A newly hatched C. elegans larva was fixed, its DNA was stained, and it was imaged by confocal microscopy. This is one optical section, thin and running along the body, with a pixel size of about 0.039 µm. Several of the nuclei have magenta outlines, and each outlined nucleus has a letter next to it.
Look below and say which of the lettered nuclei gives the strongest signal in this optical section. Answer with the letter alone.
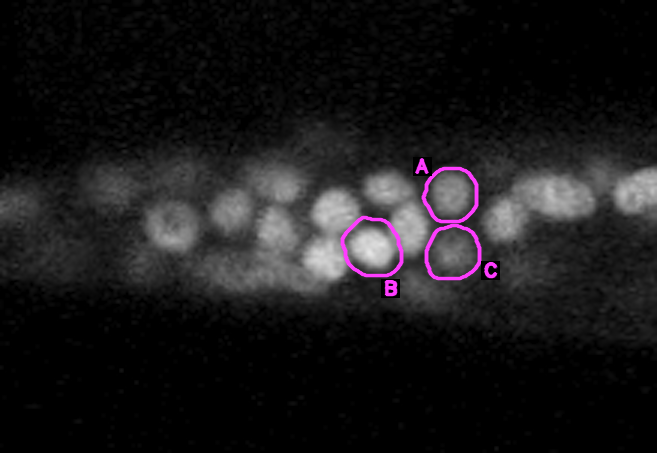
B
